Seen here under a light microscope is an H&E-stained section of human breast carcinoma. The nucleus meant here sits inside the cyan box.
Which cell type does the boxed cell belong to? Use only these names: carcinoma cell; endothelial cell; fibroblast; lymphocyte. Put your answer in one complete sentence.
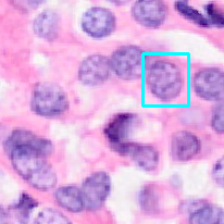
Typologically, the boxed cell is a carcinoma cell in this section.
